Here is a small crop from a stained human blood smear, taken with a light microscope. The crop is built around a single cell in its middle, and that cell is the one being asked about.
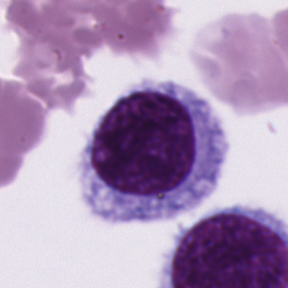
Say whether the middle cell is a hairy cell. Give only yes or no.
yes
